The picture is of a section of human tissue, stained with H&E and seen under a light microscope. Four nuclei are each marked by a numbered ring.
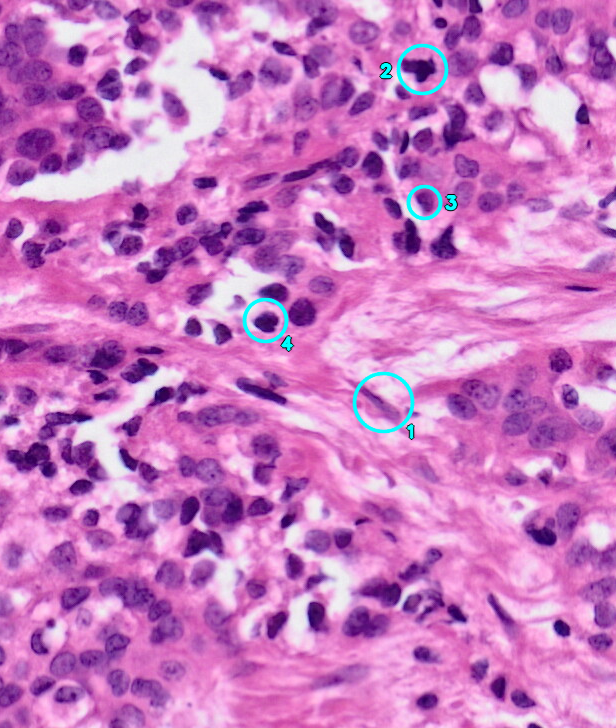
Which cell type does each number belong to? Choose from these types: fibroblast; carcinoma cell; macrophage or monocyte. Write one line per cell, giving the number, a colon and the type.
1: fibroblast
2: carcinoma cell
3: carcinoma cell
4: carcinoma cell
